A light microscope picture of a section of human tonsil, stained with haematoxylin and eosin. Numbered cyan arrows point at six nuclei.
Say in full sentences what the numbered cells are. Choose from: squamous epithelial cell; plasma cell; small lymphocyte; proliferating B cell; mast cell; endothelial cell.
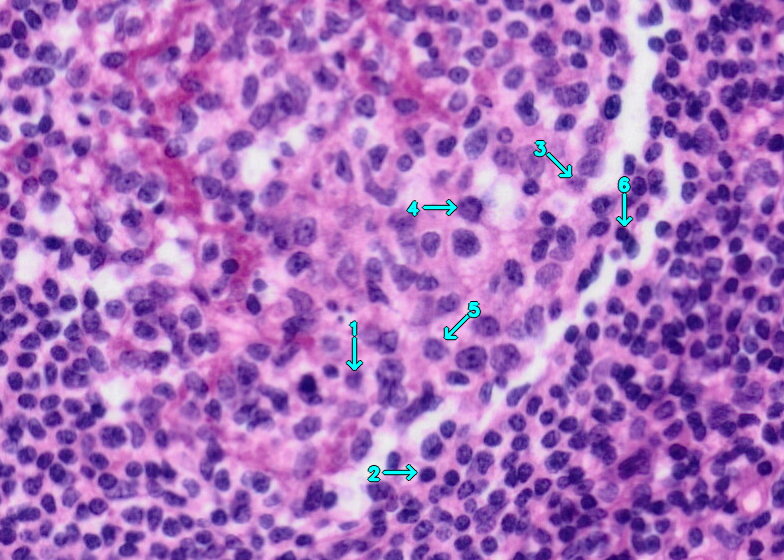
Cells 1, 3, 4 and 5 are proliferating B cells. Cells 2 and 6 are small lymphocytes.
